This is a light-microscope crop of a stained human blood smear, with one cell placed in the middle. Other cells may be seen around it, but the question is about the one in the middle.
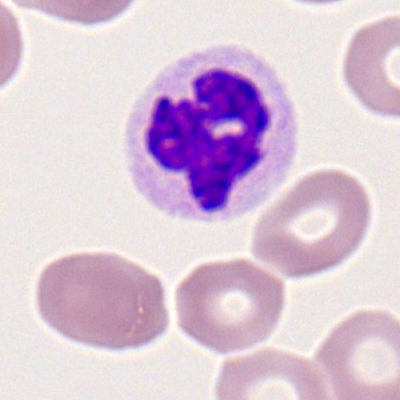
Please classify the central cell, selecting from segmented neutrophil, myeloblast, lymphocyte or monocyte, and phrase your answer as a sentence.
The cell of interest, located centrally, is a segmented neutrophil.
